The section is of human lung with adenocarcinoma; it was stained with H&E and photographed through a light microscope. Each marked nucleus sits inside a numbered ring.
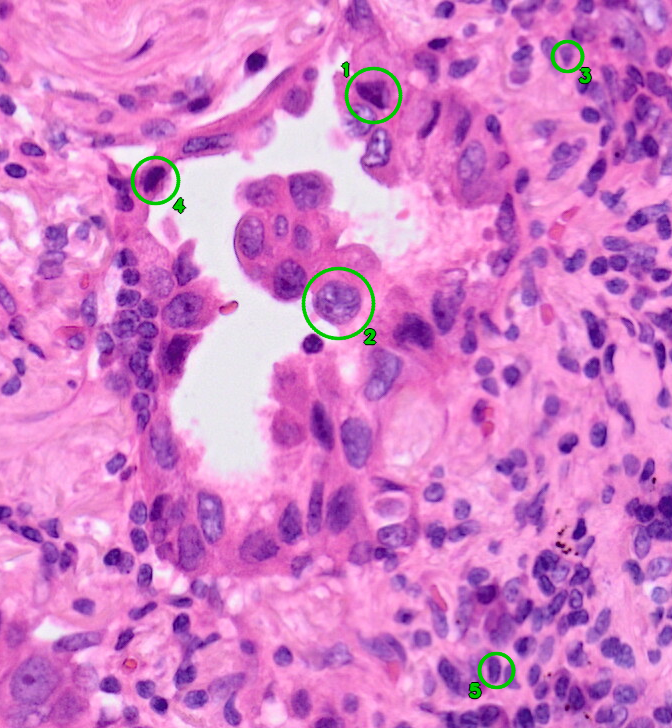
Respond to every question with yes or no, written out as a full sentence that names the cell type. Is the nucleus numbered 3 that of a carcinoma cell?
No, cell 3 is not a carcinoma cell; a lymphocyte is the correct identification.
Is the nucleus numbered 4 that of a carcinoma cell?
Yes, so the cell at label 4 is a carcinoma cell.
